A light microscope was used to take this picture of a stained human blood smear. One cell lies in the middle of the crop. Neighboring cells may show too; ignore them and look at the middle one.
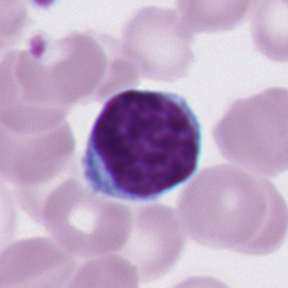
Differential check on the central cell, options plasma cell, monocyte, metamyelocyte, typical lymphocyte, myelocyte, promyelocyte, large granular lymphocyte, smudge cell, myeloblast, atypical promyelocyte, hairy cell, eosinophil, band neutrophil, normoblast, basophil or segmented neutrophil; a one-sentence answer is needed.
The cell found in the middle of this crop is a typical lymphocyte.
